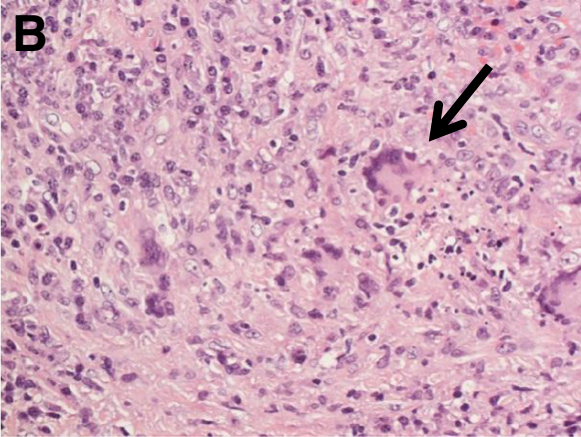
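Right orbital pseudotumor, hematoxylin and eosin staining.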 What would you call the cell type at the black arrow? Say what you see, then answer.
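Multinucleated giant cell. The arrow points to a large cell with abundant pink cytoplasm. That cell holds several dark nuclei.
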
